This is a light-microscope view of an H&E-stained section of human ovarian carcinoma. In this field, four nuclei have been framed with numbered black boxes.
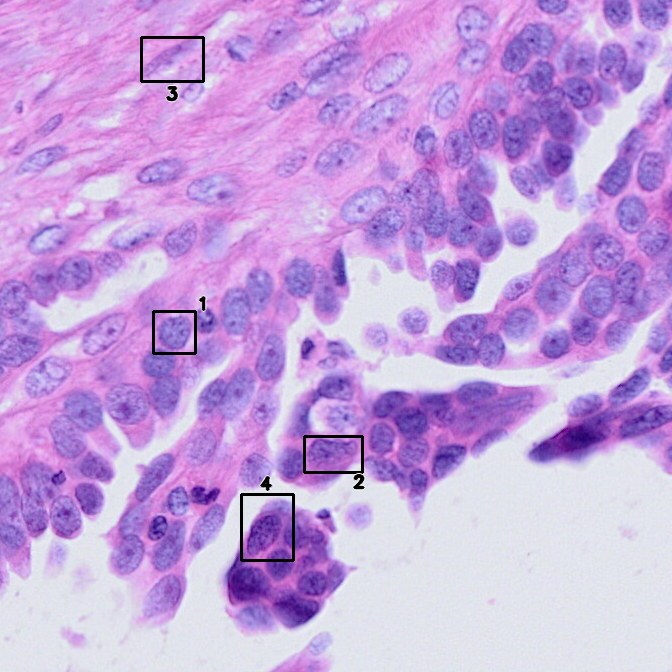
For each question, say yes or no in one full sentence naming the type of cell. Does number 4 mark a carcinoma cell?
Yes, the cell that goes by number 4 is a carcinoma cell.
